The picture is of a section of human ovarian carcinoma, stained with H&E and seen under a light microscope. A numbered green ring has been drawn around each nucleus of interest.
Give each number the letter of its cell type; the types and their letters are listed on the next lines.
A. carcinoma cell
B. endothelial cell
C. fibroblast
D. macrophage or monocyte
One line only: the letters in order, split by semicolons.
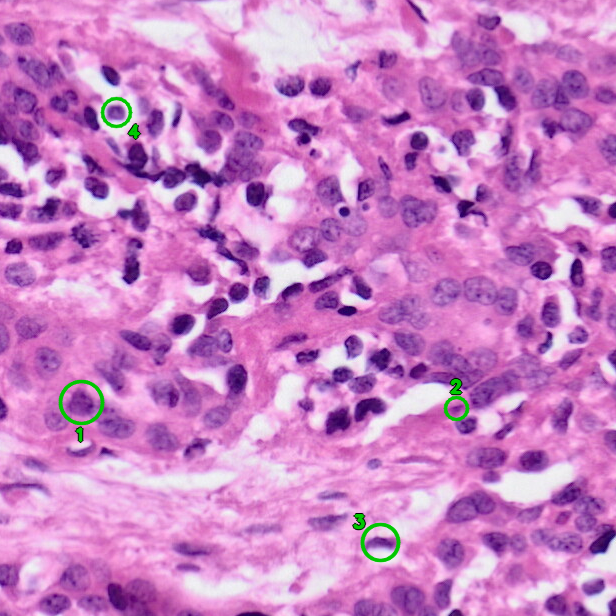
A; A; C; A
